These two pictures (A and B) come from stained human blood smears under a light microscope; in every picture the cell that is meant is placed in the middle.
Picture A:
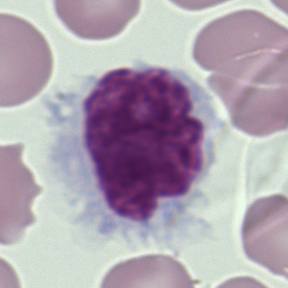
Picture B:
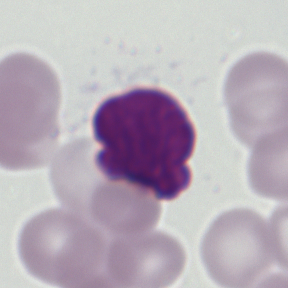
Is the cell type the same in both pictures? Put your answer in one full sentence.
No, the types are not the same, since picture A shows a hairy cell and picture B a smudge cell.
